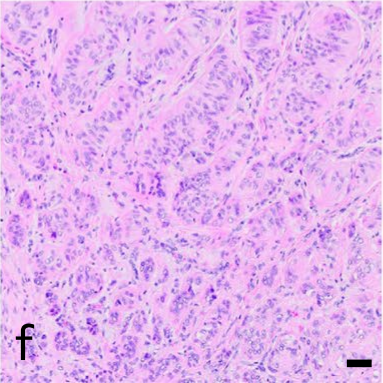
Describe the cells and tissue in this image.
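Tumor tissue arranged in wide trabeculae and small nests separated by thin pink stromal bundles. Medium to large polygonal or elongated tumor cells with oval nuclei sit within pale pink hyaline material, many oriented across the trabeculae.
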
